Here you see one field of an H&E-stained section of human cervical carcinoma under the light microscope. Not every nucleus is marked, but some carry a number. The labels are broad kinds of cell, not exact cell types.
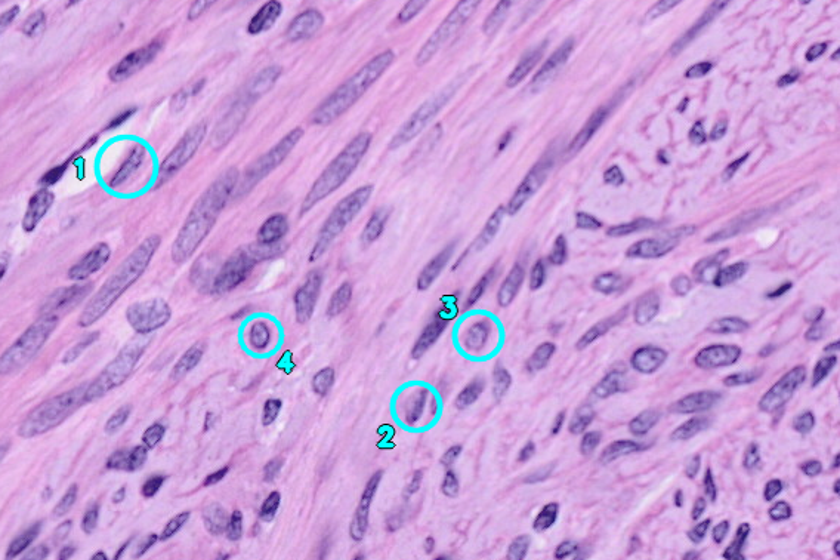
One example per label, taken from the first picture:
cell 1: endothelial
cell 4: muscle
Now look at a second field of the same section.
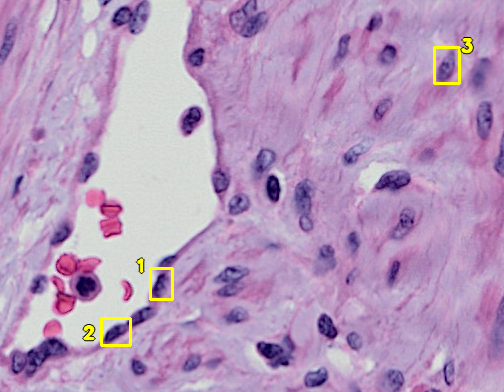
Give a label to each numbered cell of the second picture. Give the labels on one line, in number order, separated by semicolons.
endothelial; endothelial; muscle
